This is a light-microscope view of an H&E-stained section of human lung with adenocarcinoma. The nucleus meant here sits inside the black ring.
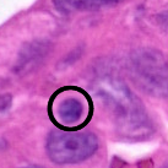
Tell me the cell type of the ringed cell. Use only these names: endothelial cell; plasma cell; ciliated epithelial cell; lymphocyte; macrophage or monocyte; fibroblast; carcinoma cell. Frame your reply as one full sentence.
It is as a lymphocyte that the ringed cell is classified.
